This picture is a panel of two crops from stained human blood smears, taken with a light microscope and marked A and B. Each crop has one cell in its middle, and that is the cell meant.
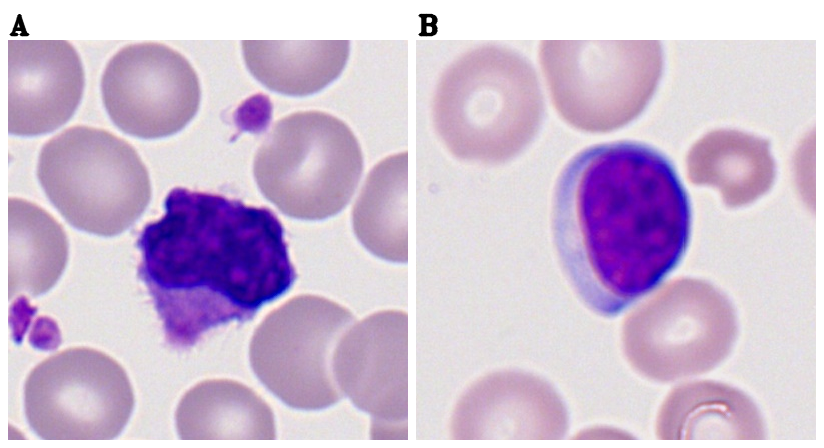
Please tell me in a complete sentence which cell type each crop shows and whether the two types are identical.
Yes, the central cells in both crops are lymphocytes.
